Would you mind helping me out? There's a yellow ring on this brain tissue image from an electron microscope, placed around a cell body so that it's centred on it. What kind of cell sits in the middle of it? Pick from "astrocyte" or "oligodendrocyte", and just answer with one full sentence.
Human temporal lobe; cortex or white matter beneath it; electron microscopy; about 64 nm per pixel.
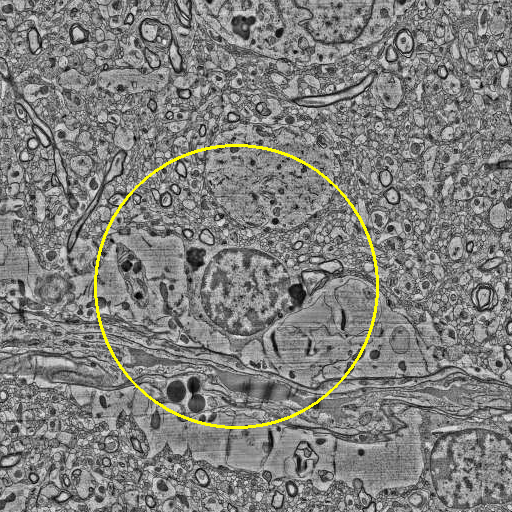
What sits in the middle of that yellow ring is an oligodendrocyte, from your choices.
